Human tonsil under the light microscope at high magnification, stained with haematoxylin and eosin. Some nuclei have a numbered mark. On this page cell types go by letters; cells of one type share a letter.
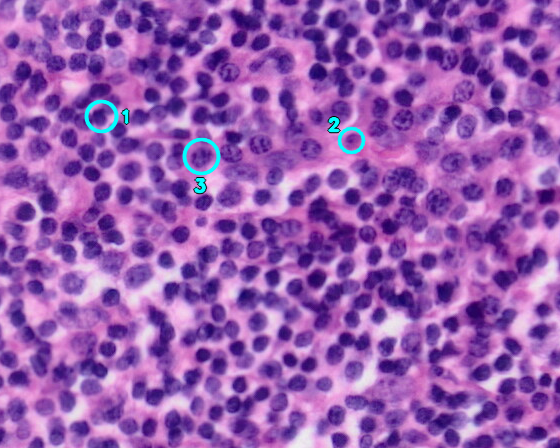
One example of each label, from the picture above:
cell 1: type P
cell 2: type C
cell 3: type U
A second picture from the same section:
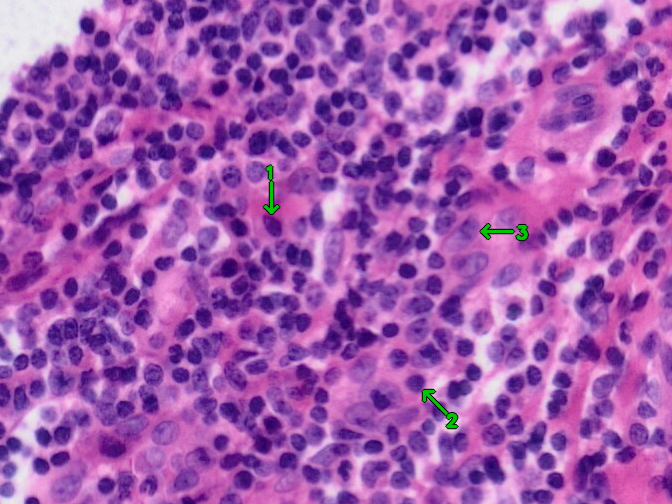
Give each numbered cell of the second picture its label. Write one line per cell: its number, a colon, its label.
1: type U
2: type C
3: type C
